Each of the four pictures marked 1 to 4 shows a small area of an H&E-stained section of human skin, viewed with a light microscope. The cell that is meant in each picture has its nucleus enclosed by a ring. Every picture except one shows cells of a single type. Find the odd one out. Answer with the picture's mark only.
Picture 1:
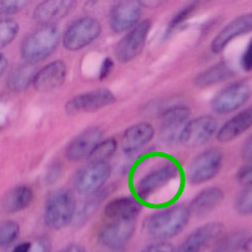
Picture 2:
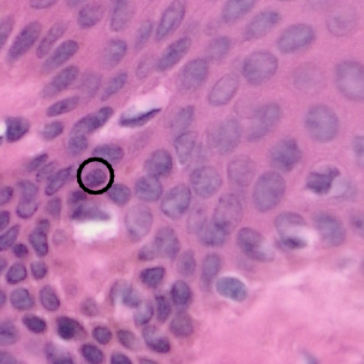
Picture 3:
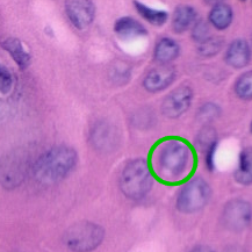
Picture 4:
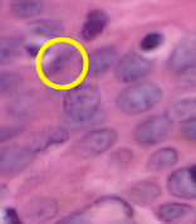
3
